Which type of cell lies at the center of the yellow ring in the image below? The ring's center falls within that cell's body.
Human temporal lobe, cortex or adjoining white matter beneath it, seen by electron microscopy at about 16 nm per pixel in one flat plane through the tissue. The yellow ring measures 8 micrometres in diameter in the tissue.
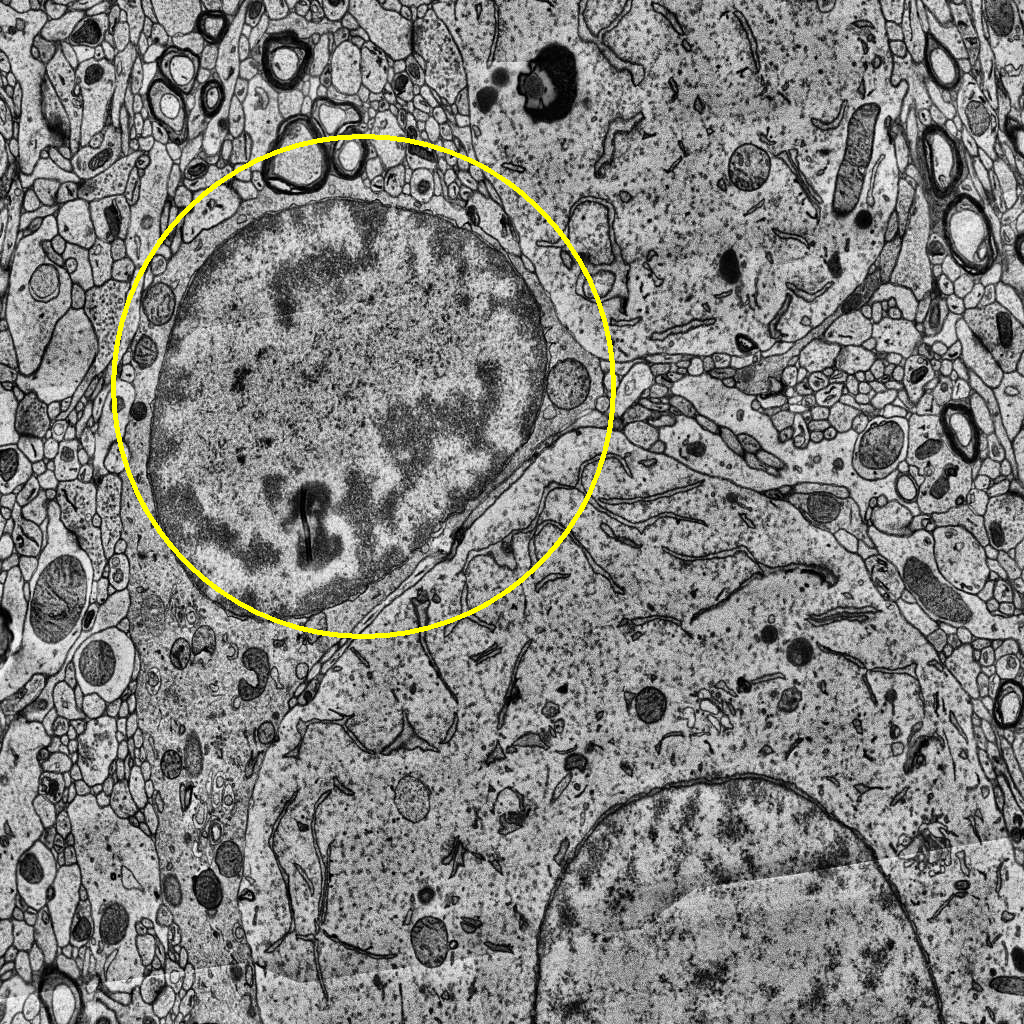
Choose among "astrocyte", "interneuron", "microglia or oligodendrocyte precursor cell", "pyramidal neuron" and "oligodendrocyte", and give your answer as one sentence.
The cell body at the center belongs to an oligodendrocyte.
